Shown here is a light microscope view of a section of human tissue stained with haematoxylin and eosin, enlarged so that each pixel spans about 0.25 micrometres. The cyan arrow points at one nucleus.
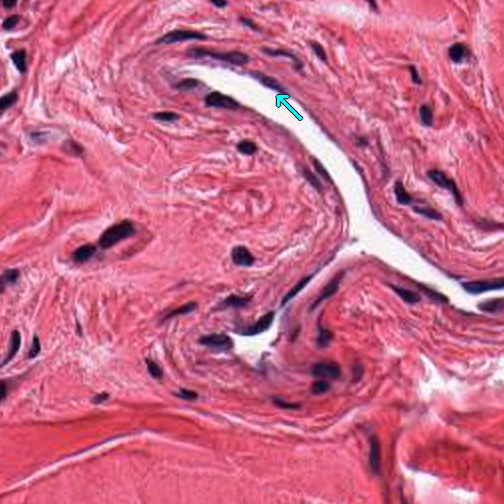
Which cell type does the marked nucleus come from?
endothelial cell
